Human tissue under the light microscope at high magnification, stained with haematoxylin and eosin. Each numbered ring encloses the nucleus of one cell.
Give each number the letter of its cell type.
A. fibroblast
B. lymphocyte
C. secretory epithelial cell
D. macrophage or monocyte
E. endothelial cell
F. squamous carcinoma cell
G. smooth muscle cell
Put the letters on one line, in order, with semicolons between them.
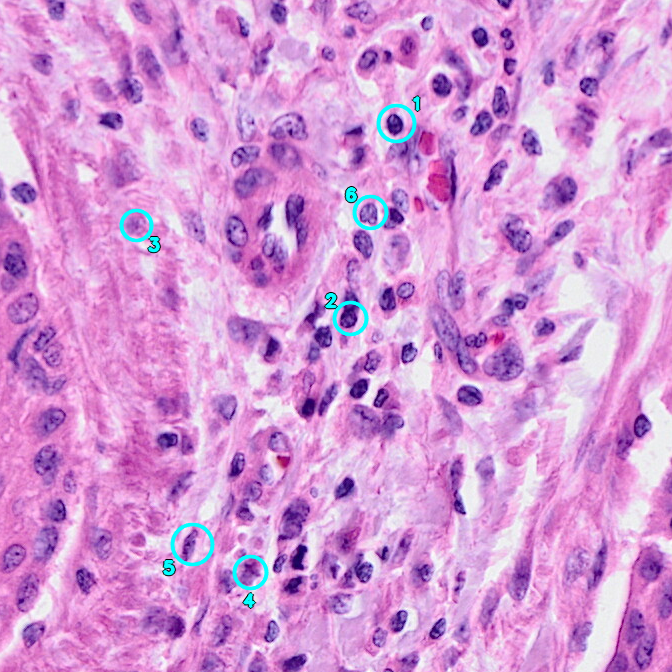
B; B; A; A; A; B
